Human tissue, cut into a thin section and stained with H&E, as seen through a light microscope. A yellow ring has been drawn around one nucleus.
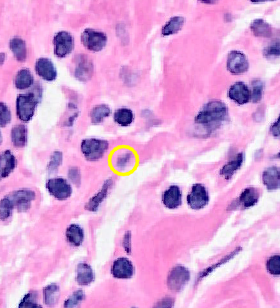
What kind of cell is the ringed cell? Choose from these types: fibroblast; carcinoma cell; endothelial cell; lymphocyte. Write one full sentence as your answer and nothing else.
The correct response here is that the ringed cell is a lymphocyte.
